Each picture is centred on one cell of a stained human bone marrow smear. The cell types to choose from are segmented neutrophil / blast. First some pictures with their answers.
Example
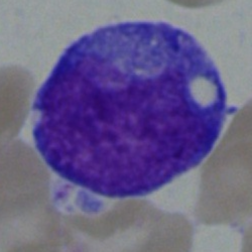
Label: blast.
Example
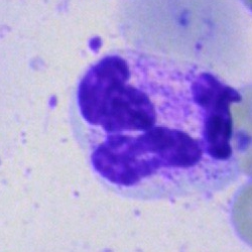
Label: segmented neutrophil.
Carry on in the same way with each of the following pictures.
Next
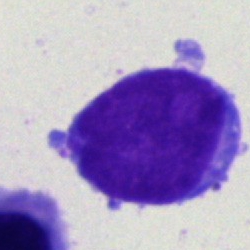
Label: blast.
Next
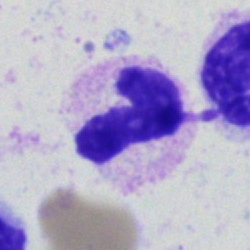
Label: segmented neutrophil.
